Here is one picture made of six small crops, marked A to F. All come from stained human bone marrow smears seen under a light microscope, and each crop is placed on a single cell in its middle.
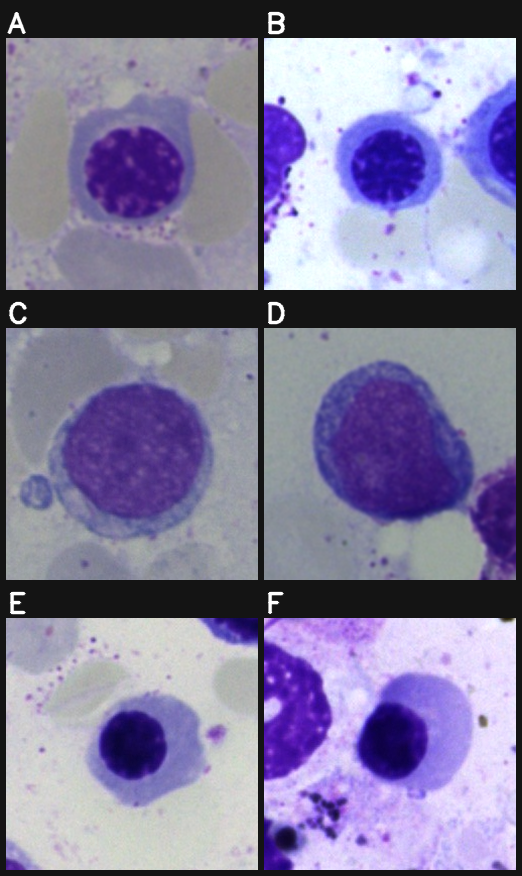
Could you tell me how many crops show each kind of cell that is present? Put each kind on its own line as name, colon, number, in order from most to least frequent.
erythroblast: 4
blast: 2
